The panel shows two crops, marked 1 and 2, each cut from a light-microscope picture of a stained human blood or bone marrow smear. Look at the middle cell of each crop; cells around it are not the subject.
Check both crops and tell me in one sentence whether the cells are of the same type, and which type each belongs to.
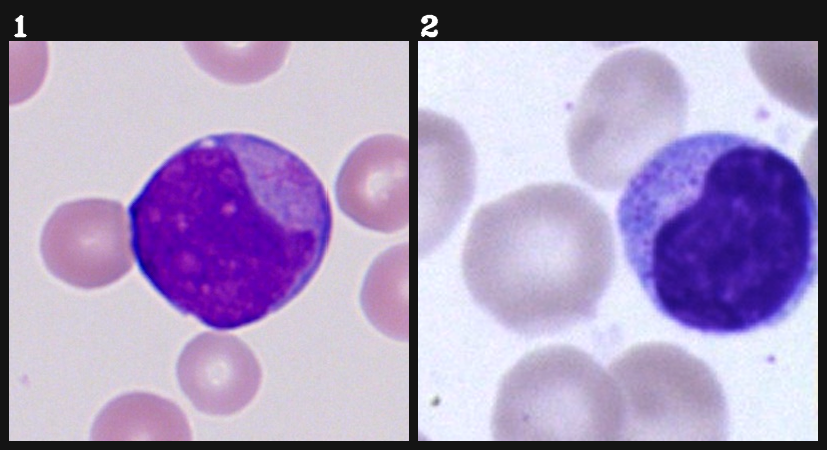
No, the cell that crop 1 shows is a blast, and the one crop 2 shows is a lymphocyte.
